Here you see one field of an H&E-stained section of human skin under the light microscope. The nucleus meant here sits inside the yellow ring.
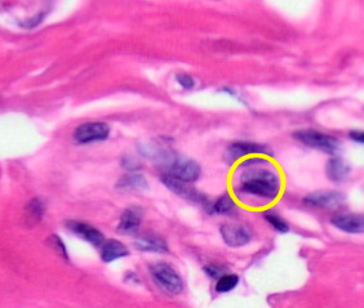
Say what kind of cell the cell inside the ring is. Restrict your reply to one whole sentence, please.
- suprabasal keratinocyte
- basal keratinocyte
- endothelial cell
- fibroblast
Histopathologically, the cell inside the ring is an endothelial cell.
